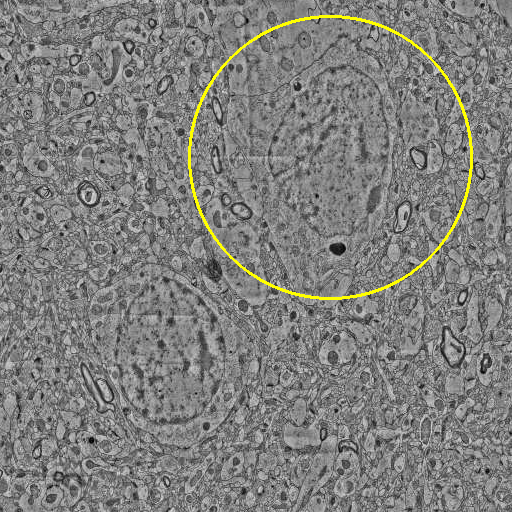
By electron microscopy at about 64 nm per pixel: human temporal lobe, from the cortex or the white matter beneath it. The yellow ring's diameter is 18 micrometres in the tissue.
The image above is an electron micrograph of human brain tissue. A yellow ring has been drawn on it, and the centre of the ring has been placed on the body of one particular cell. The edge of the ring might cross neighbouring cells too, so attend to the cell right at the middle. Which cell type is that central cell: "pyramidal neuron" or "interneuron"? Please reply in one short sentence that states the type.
The central cell in the ring is an interneuron.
